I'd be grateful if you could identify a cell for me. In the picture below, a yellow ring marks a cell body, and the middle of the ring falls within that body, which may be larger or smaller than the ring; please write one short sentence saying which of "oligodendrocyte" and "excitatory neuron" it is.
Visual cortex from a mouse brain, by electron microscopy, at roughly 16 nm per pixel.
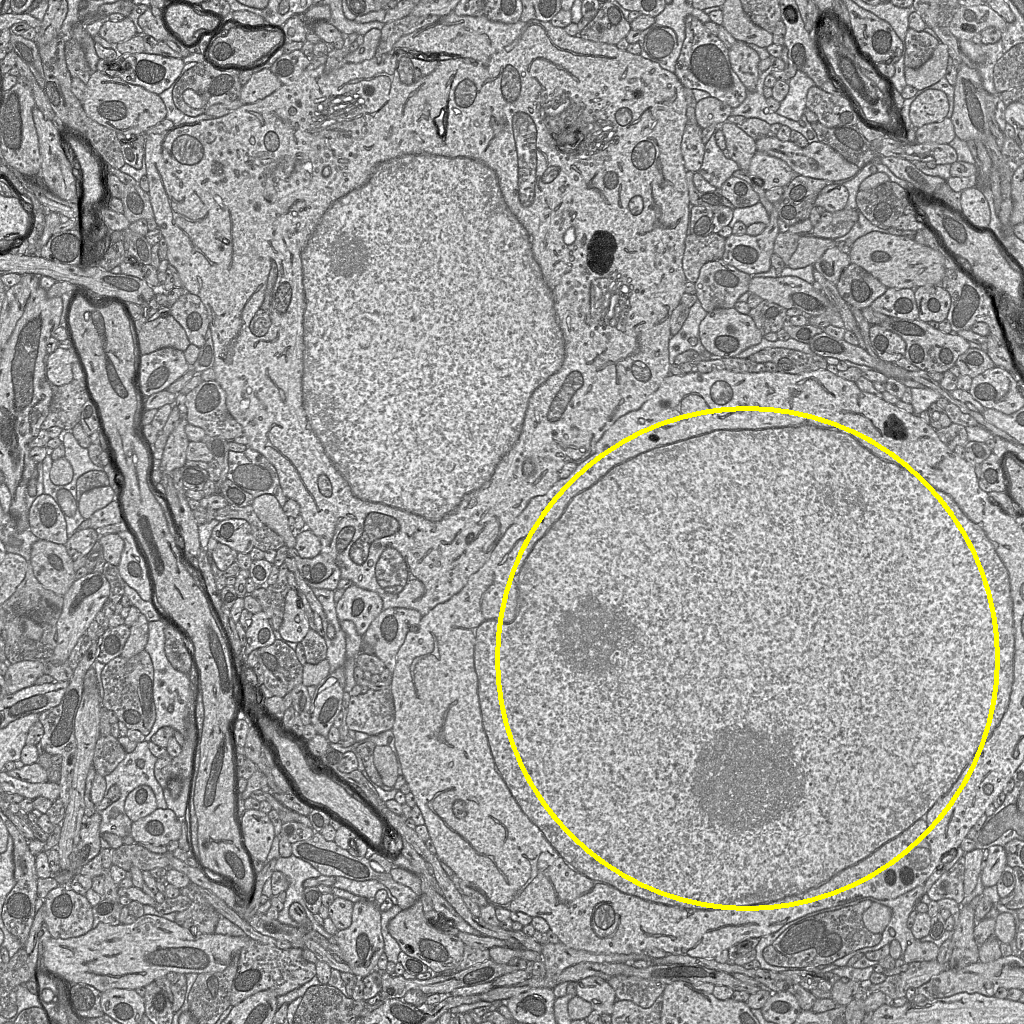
The cell under the ring's centre is an excitatory neuron.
